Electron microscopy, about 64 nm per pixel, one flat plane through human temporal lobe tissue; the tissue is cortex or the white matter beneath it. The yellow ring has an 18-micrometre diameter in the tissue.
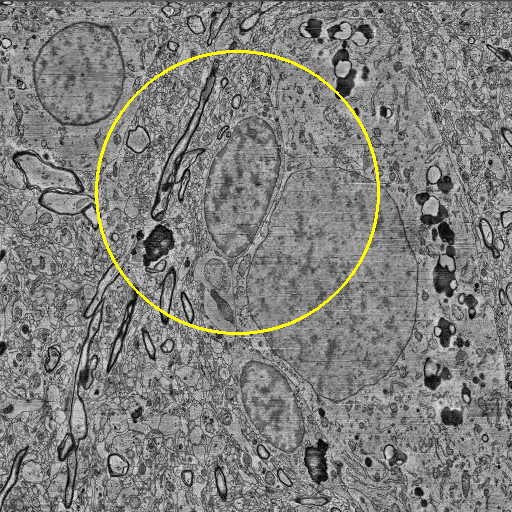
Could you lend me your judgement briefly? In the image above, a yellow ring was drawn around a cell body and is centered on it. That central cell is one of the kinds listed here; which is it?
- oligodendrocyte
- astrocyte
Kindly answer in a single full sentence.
Going by the list, an oligodendrocyte is the kind at the ring's center in the picture.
